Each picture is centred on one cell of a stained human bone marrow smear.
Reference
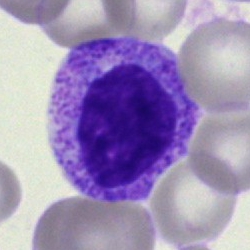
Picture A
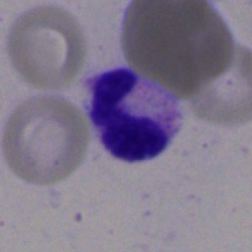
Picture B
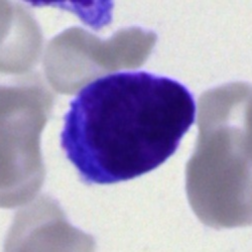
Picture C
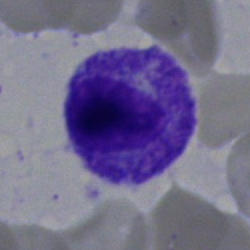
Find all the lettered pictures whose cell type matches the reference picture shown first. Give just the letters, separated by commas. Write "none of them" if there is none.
C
